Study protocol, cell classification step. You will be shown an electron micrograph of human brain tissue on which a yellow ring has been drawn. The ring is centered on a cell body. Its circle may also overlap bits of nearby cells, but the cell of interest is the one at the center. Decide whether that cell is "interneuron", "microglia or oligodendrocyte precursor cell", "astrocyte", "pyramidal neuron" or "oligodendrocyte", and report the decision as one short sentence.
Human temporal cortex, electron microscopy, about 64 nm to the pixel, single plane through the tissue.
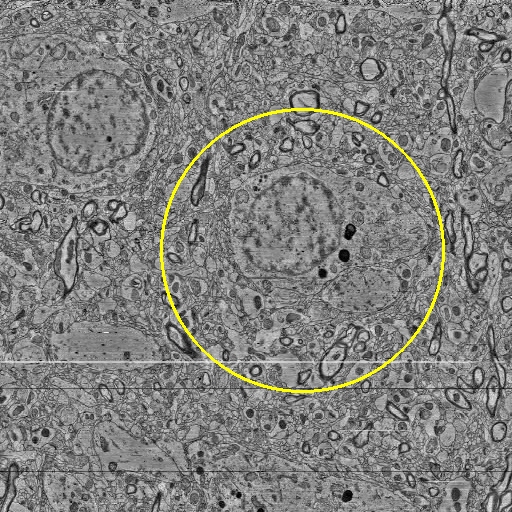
The marked cell is an interneuron.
